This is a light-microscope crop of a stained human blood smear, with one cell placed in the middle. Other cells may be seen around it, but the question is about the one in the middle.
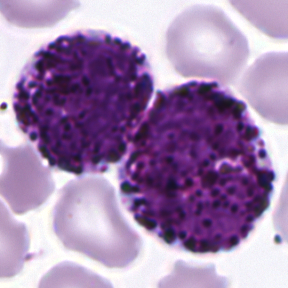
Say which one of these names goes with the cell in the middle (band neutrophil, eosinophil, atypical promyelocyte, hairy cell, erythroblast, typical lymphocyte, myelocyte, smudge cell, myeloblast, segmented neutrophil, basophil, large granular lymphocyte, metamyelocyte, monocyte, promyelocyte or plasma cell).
basophil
